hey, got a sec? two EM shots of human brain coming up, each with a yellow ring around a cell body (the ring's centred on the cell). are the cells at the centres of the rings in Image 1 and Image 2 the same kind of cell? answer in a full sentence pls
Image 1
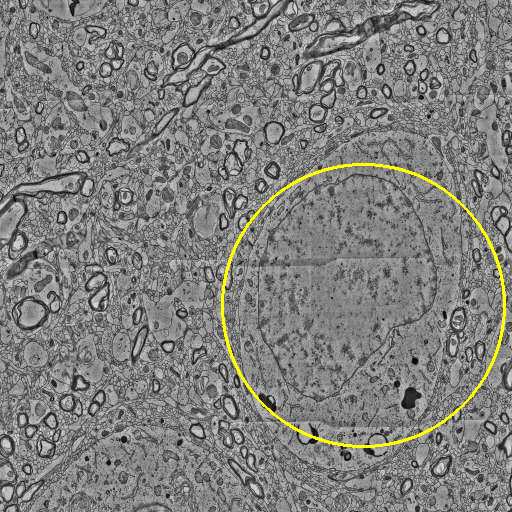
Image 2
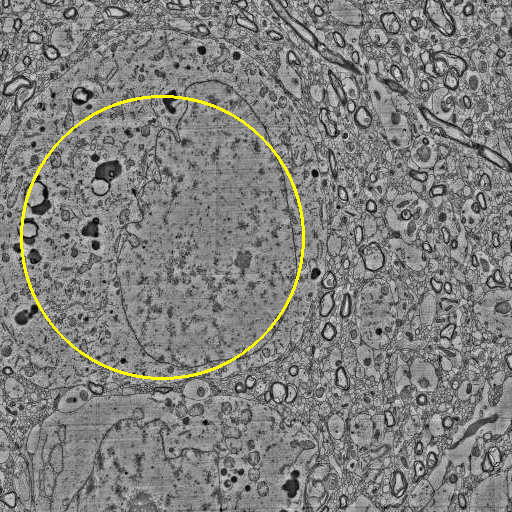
Yes, both are the same kind of cell.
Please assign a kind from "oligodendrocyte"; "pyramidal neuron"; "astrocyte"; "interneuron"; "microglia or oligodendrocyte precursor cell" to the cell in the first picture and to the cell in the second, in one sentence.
The second cell is a pyramidal neuron, just as the first is.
